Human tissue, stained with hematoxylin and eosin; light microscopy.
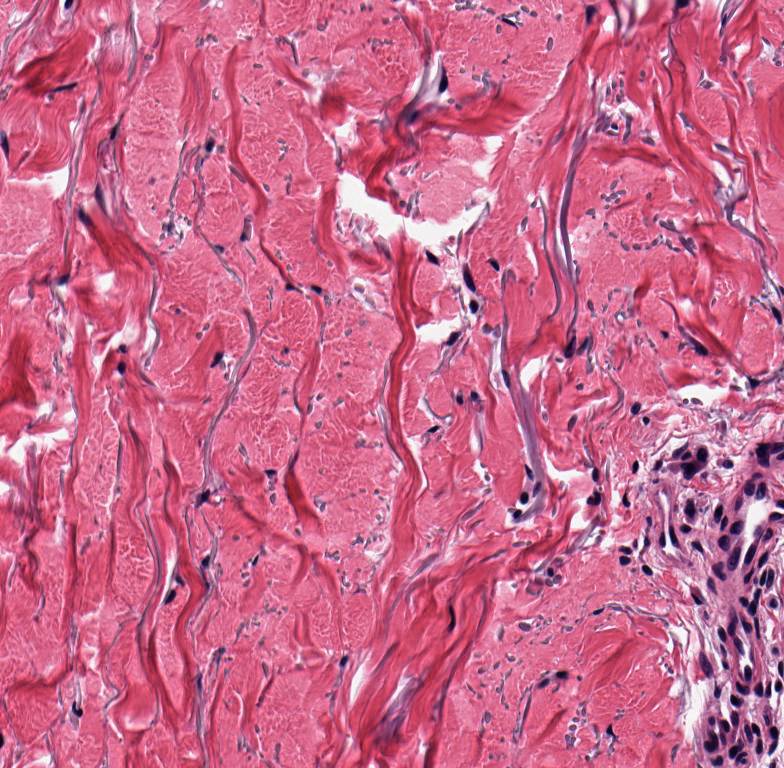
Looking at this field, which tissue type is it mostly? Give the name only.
dermis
